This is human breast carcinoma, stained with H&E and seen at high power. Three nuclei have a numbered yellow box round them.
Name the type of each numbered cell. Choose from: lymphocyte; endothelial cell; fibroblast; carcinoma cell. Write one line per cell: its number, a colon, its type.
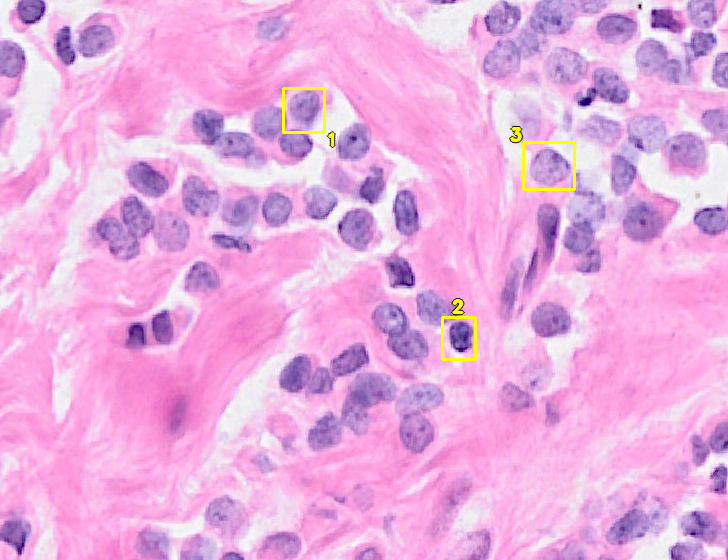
1: carcinoma cell
2: lymphocyte
3: carcinoma cell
